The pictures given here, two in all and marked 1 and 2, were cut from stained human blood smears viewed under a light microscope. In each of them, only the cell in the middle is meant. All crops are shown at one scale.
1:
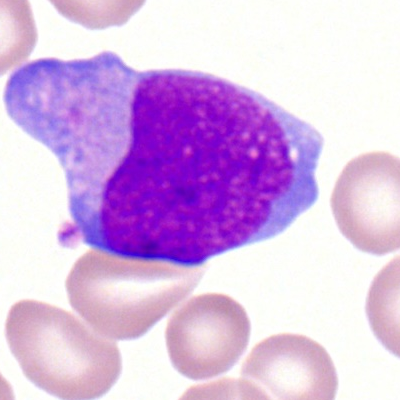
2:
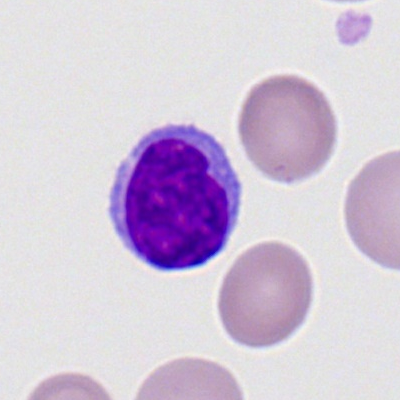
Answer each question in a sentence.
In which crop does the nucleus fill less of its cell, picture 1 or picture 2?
It is the cell in picture 1 that is filled less by its nucleus.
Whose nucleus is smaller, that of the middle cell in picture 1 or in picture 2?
The nucleus in picture 2 is smaller; the one in picture 1 has about 2 times its area.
